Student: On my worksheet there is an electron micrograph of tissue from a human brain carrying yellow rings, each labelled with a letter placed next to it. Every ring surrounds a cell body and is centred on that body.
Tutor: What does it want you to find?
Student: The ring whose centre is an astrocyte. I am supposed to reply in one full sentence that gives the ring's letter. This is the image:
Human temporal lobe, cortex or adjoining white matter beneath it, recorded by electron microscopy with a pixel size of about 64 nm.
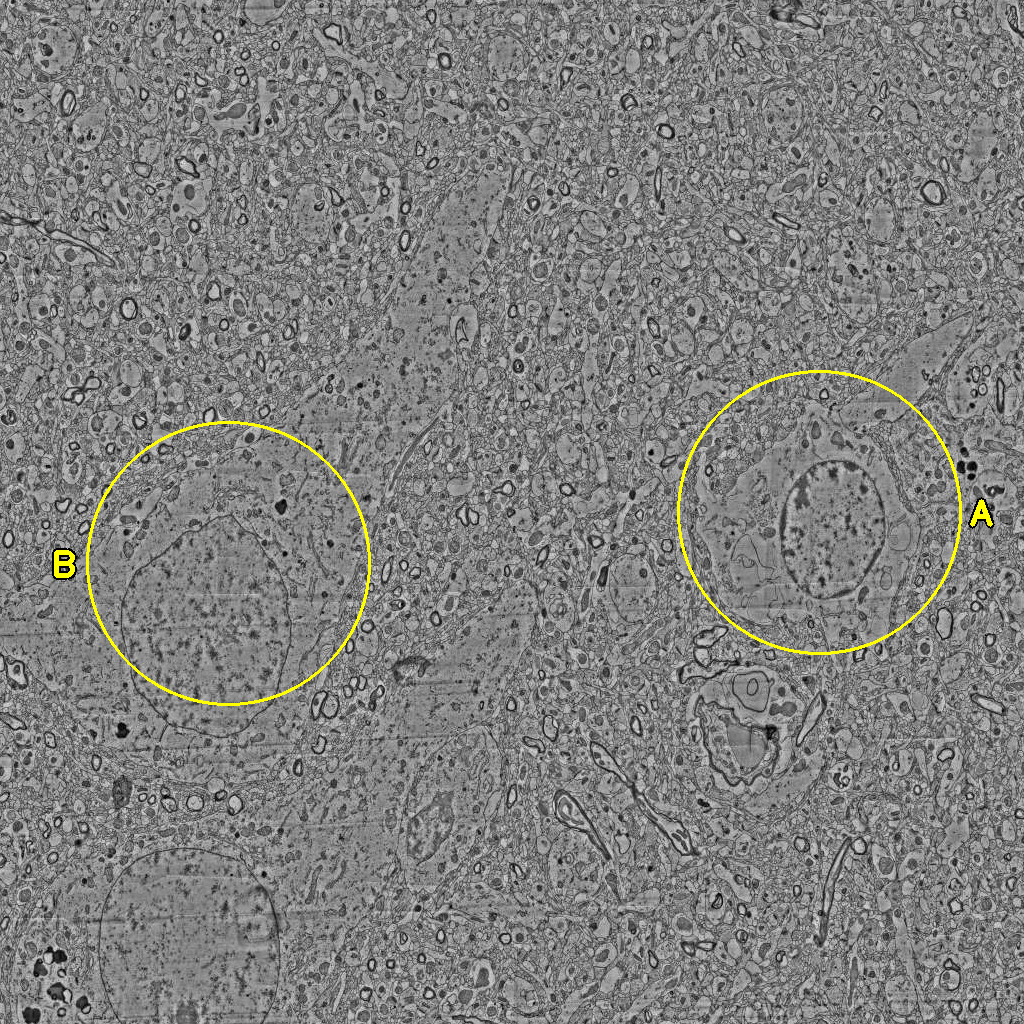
The cell asked for, shown in the picture, lies at the centre of ring A.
